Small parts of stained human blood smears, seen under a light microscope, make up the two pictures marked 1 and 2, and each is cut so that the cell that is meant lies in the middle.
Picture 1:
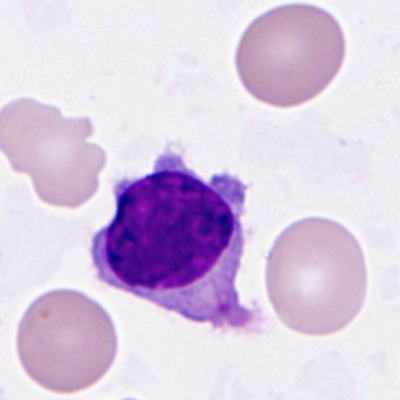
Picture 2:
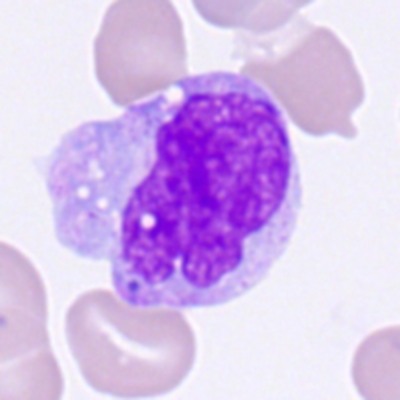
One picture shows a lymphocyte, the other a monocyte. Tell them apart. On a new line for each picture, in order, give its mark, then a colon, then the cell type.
1: lymphocyte
2: monocyte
